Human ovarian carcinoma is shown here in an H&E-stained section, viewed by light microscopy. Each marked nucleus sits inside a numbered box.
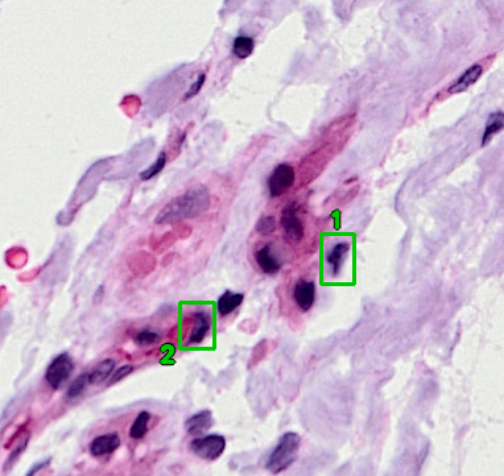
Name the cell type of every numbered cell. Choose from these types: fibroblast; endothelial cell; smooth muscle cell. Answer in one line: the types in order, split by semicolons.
fibroblast; endothelial cell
